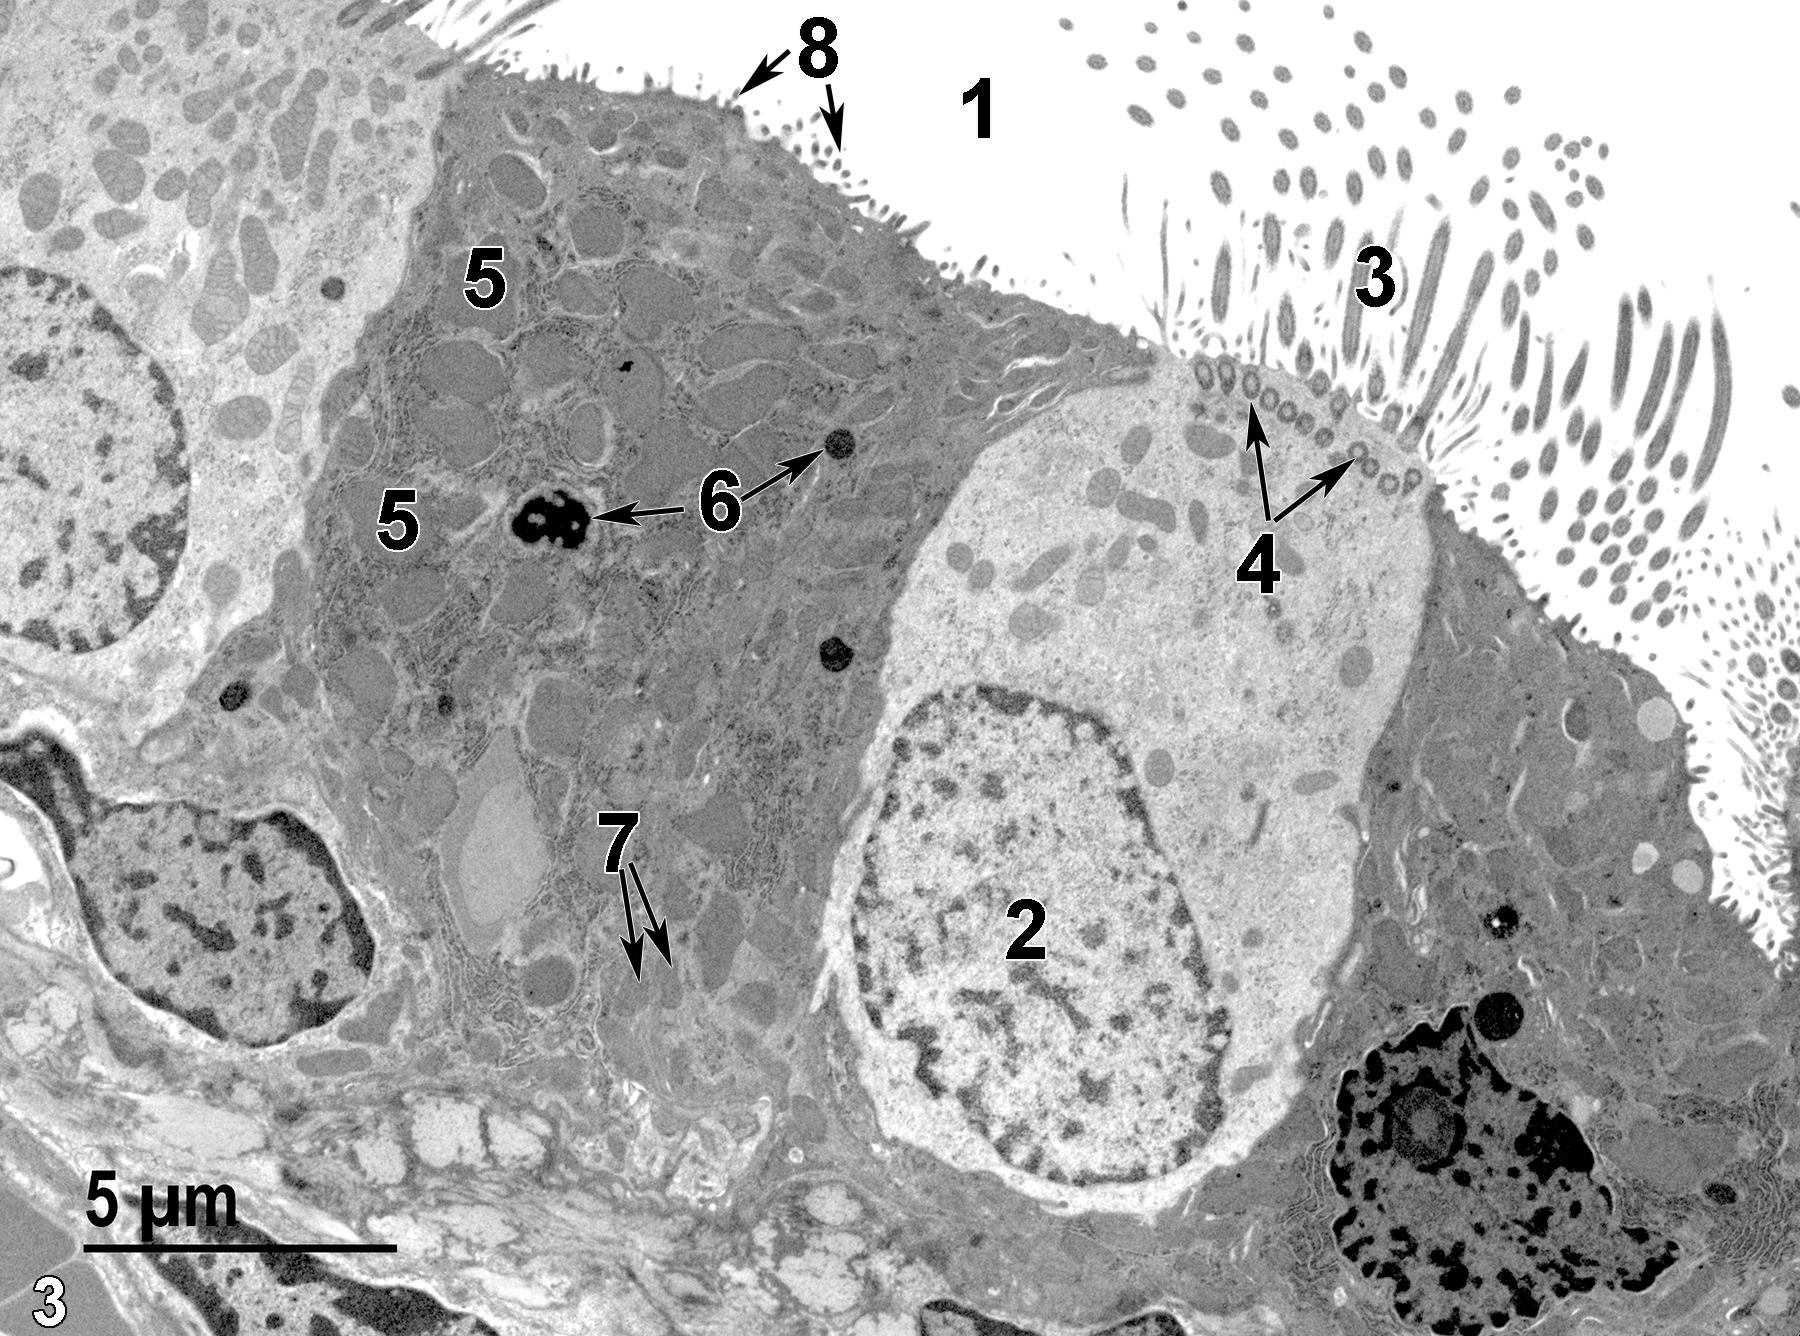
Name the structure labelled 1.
Tracheal lumen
